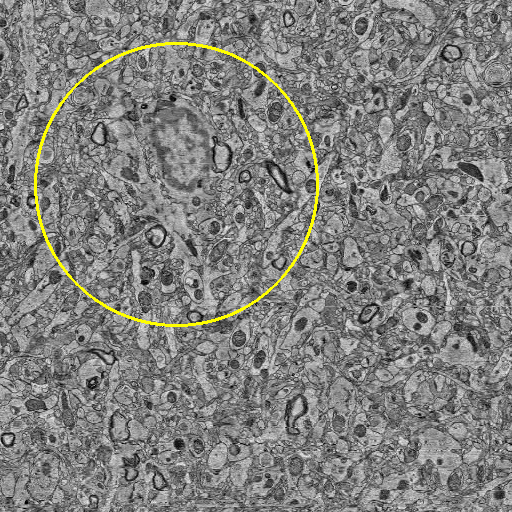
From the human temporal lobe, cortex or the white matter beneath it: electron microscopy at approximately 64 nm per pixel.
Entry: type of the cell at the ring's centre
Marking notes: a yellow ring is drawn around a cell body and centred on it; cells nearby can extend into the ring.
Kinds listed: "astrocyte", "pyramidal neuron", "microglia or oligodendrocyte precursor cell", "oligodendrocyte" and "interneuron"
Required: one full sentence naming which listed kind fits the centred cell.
My entry names an oligodendrocyte as the cell whose body the yellow ring centres on.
